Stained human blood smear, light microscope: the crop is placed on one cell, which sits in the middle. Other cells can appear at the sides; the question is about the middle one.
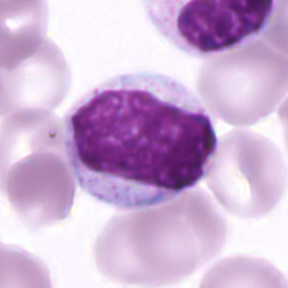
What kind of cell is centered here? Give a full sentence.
The cell under consideration, at the middle of the crop, is a metamyelocyte.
